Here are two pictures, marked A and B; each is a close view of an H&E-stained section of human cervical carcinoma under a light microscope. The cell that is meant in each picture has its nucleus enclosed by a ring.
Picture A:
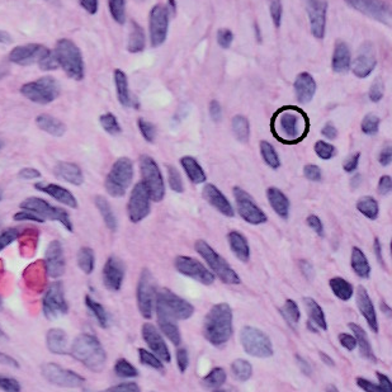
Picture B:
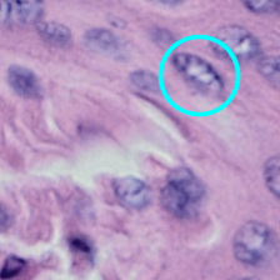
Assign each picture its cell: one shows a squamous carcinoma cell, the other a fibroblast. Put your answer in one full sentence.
Picture B shows a squamous carcinoma cell, while picture A shows a fibroblast.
